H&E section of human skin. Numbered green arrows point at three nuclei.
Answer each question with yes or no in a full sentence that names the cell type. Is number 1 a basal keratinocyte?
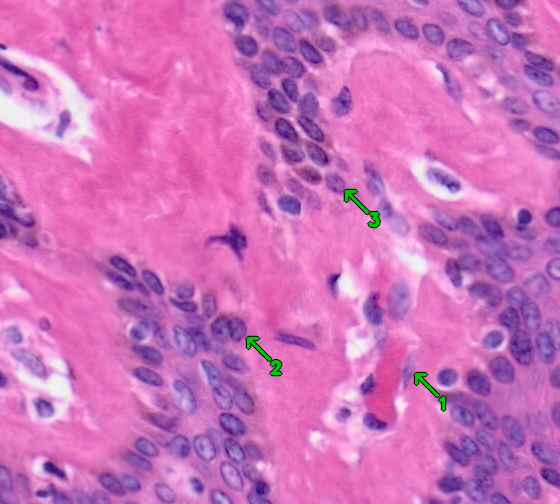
No, rather than a basal keratinocyte, cell number 1 is an endothelial cell.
